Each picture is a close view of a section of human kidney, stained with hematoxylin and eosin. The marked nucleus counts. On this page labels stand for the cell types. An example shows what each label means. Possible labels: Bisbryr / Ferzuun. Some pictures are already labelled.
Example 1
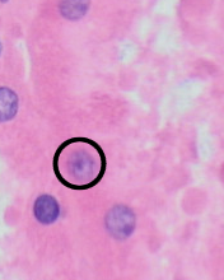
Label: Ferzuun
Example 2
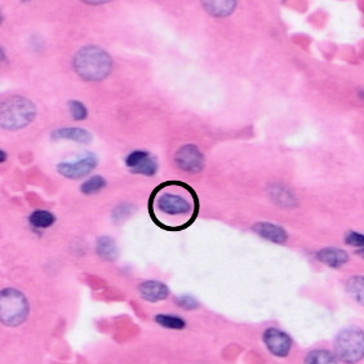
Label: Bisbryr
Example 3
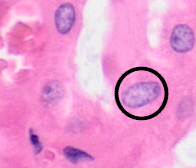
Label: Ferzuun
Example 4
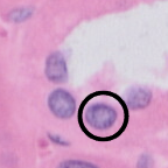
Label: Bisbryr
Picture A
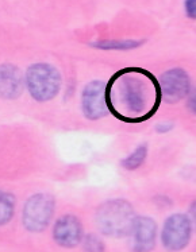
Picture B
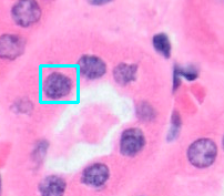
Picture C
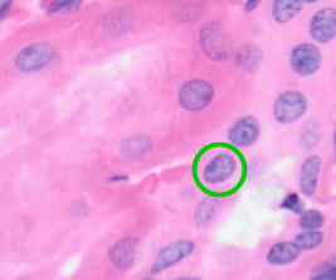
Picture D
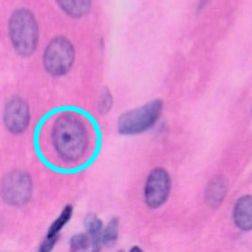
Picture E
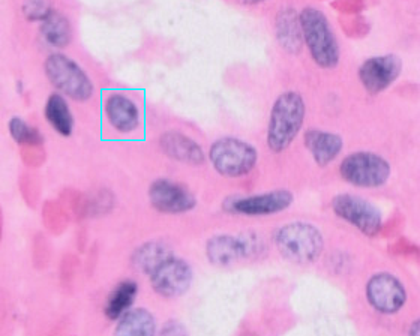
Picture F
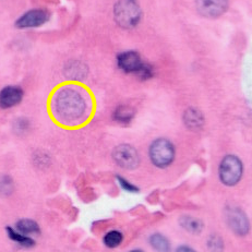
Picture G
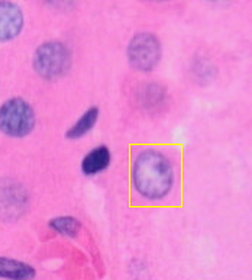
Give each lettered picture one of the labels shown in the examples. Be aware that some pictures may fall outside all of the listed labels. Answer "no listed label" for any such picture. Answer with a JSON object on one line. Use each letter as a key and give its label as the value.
{"A": "no listed label", "B": "Bisbryr", "C": "no listed label", "D": "Ferzuun", "E": "no listed label", "F": "Ferzuun", "G": "Ferzuun"}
